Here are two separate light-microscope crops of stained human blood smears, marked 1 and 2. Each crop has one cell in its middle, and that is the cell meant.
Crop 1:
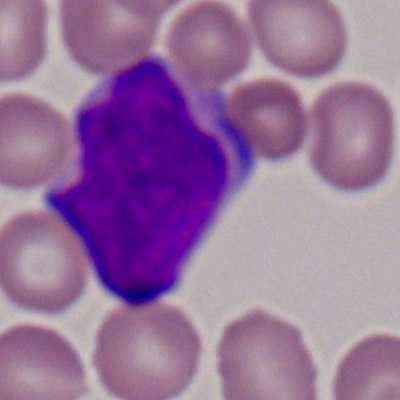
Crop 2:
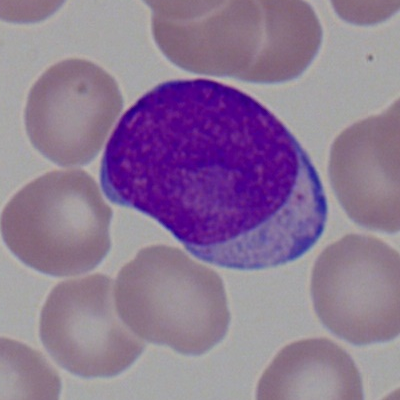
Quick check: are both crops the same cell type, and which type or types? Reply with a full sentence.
Yes, in both crops the centred cells are myeloblasts.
